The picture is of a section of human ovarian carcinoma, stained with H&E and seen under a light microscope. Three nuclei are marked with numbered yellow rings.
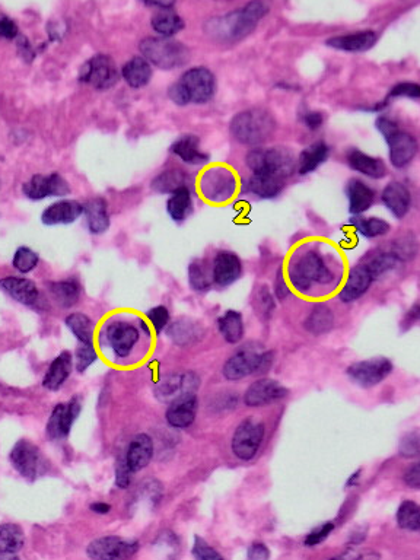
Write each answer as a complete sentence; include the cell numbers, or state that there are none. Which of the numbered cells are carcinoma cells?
The cells picked out by numbers 2 and 3 are carcinoma cells.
